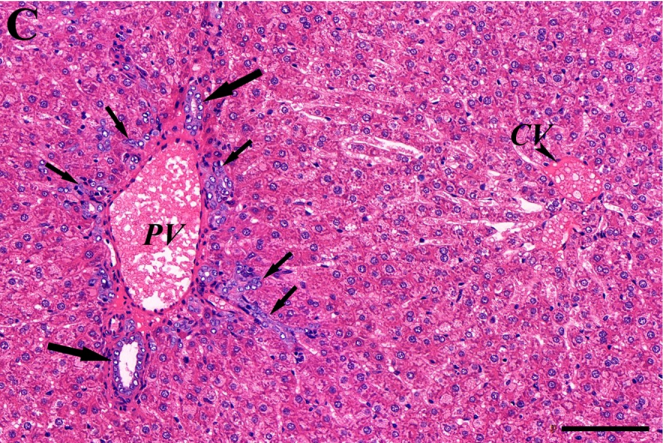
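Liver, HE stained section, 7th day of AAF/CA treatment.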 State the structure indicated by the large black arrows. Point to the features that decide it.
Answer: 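Bile ducts. The large arrows point to small tubes with open lumens next to the portal vein. Each tube is lined by a ring of cuboidal epithelial cells with dark nuclei.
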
